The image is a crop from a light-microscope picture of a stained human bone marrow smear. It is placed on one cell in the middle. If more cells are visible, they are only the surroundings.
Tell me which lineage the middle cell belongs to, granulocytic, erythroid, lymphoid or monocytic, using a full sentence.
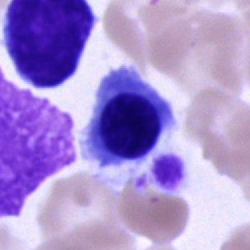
The centered cell should be recorded as belonging to the erythroid lineage.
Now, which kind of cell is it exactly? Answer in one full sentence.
The cell at the middle of the crop is recognized as an erythroblast.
